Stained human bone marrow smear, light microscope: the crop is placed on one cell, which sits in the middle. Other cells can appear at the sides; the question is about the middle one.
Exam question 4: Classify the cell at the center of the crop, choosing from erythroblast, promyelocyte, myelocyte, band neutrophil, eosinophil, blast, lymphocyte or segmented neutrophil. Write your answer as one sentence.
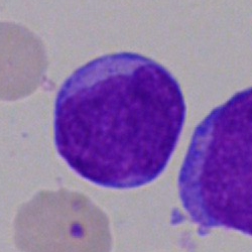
At the middle of the frame sits a blast.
